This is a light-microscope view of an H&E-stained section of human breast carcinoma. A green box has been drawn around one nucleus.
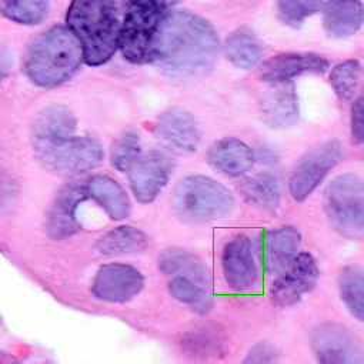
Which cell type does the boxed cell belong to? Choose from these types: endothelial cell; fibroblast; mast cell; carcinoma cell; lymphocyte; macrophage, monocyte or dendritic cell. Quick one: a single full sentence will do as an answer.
In the stained section, the boxed cell is a carcinoma cell.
